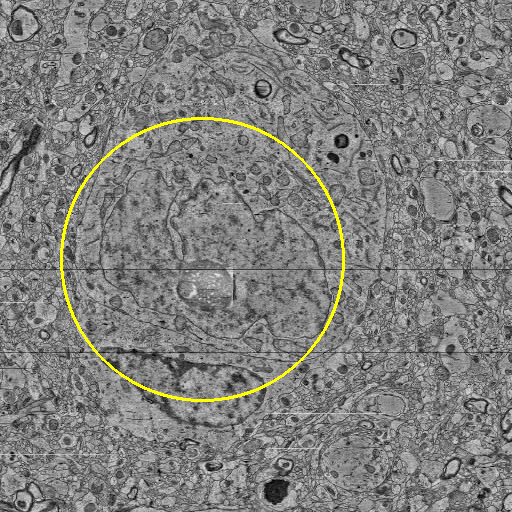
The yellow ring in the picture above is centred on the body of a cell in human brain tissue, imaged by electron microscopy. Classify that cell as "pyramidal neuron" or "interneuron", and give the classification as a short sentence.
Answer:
The cell in the middle of the ring is an interneuron.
